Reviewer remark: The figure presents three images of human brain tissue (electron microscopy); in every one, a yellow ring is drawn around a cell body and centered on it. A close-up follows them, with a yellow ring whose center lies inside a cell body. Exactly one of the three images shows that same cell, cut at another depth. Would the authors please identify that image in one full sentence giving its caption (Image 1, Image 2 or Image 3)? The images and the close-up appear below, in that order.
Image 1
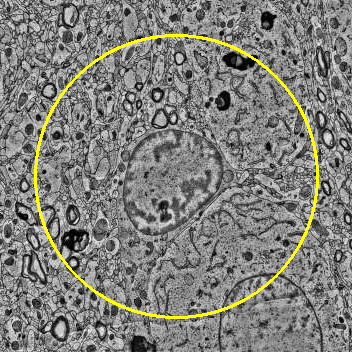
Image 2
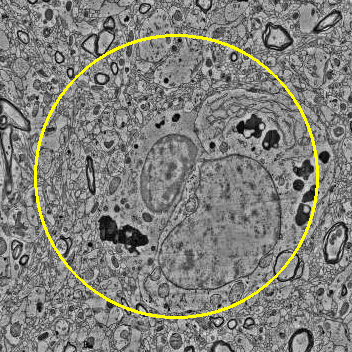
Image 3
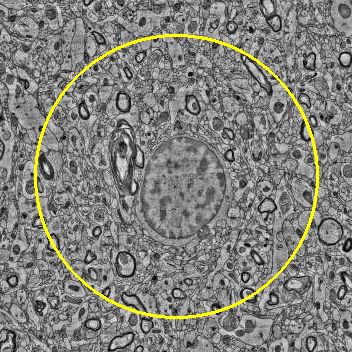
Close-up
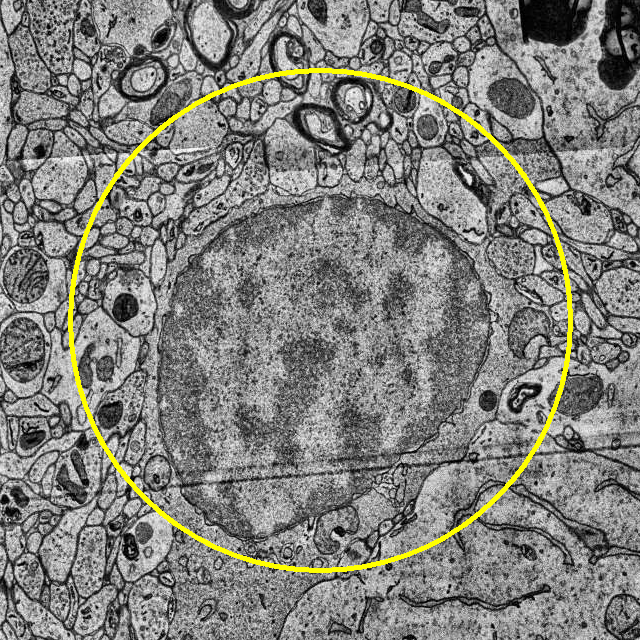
The yellow ring in Image 1 marks the cell seen in the close-up.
